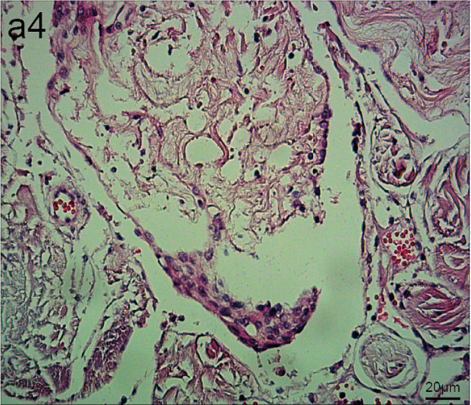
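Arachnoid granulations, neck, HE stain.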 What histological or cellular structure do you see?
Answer: vacuole-like tissues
